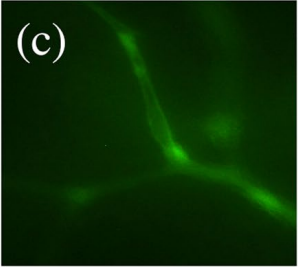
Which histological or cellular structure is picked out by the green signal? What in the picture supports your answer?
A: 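A green tubular structure runs vertically and branches.
Hence: vessels.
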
